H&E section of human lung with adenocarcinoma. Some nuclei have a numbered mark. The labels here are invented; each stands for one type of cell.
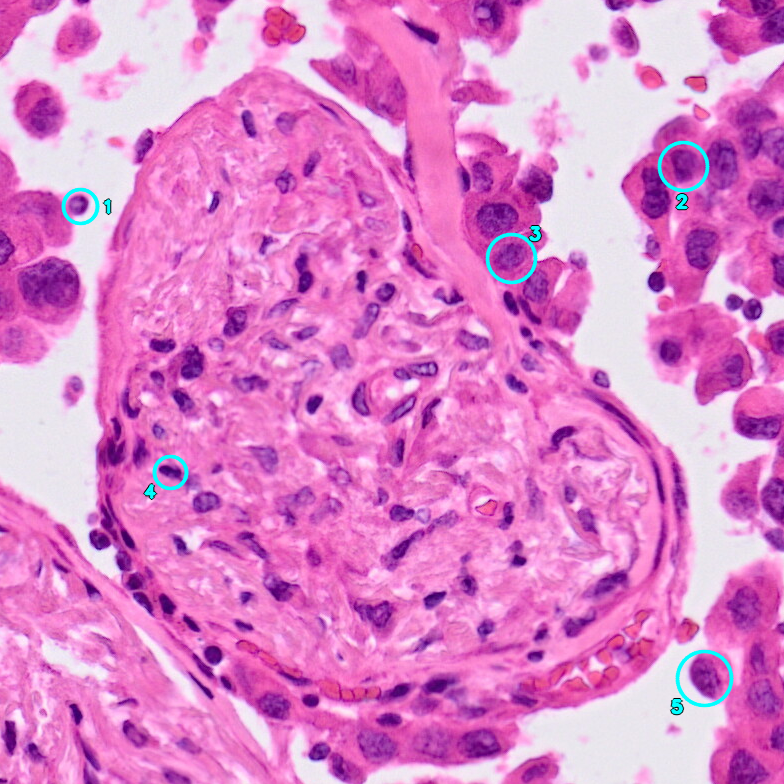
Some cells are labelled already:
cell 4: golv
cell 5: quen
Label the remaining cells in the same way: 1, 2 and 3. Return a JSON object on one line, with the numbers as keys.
{"1": "golv", "2": "quen", "3": "quen"}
